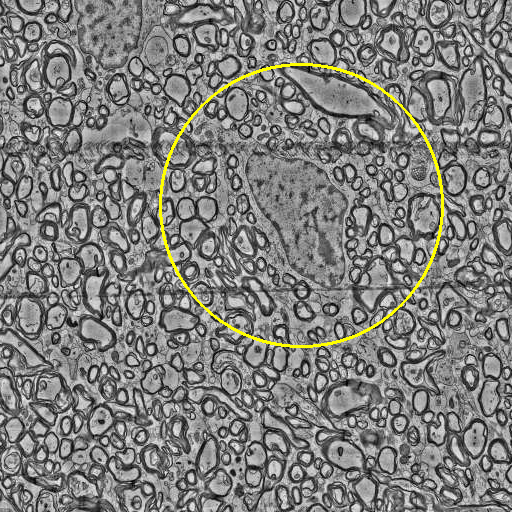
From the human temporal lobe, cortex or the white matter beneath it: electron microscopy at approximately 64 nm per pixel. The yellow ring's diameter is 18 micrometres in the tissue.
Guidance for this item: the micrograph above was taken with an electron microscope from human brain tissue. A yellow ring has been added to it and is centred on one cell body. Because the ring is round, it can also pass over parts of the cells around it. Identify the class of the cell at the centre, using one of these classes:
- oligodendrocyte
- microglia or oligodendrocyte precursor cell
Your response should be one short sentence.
The ring surrounds the body of a microglial cell or oligodendrocyte precursor cell.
